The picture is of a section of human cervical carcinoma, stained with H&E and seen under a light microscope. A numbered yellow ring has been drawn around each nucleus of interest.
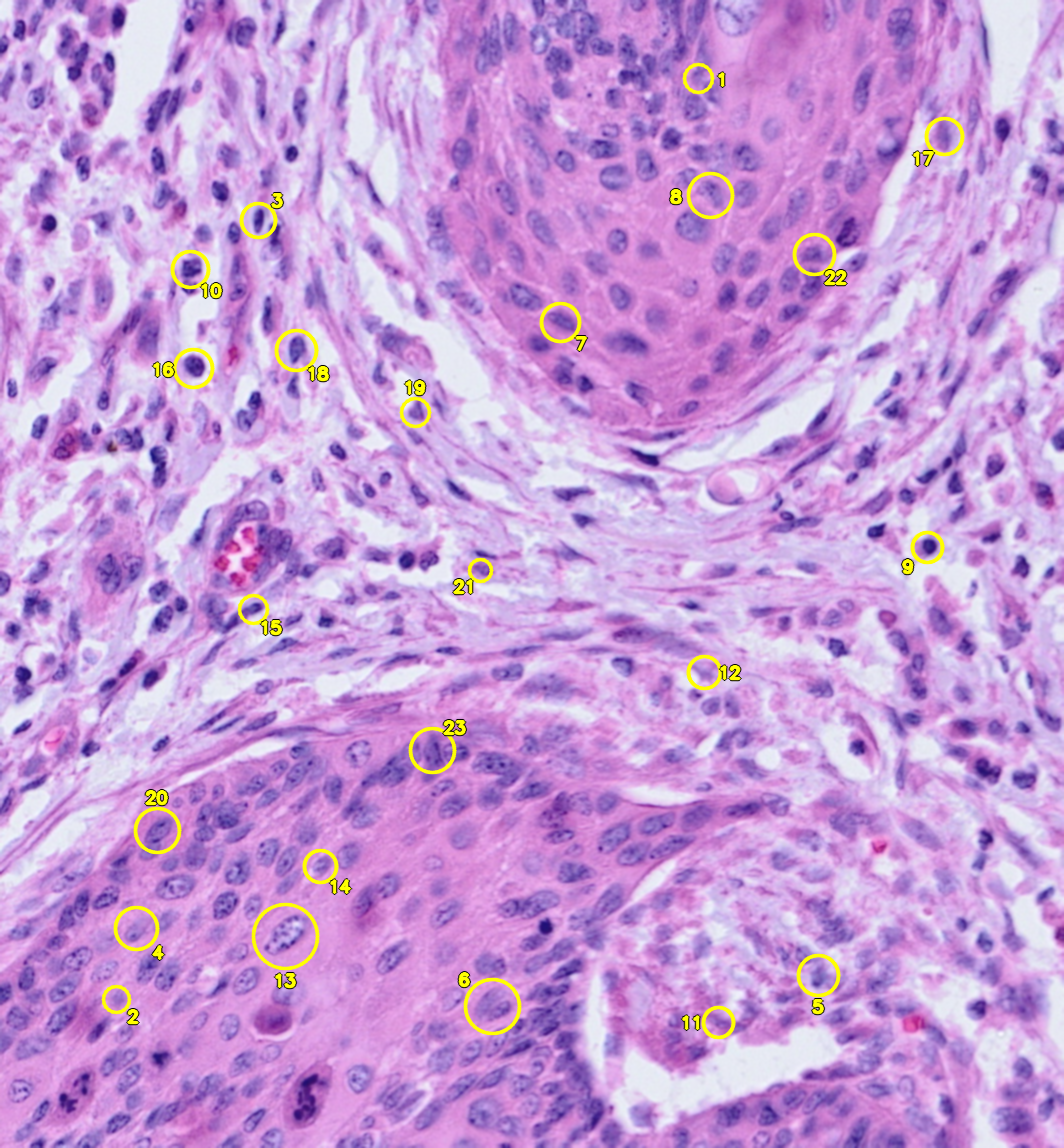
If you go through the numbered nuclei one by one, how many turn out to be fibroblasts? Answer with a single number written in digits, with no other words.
6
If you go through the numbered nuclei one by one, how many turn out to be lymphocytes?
6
